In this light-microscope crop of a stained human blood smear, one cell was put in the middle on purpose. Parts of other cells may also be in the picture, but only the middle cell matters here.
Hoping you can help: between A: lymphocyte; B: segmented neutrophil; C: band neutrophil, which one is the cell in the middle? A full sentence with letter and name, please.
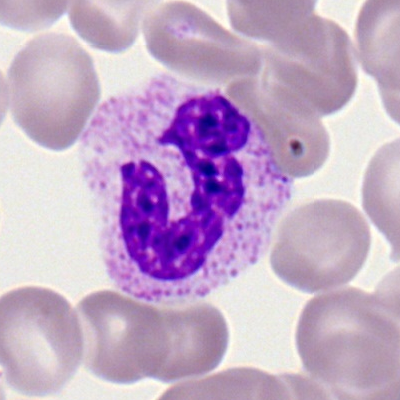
The cell in the centre of the crop is a band neutrophil, so option C is the correct one.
